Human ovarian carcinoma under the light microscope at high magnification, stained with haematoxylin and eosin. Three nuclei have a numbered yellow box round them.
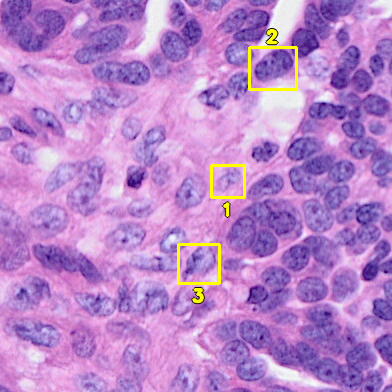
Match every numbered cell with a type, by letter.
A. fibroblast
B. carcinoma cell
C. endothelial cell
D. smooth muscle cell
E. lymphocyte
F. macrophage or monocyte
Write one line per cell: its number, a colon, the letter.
1: A
2: B
3: A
